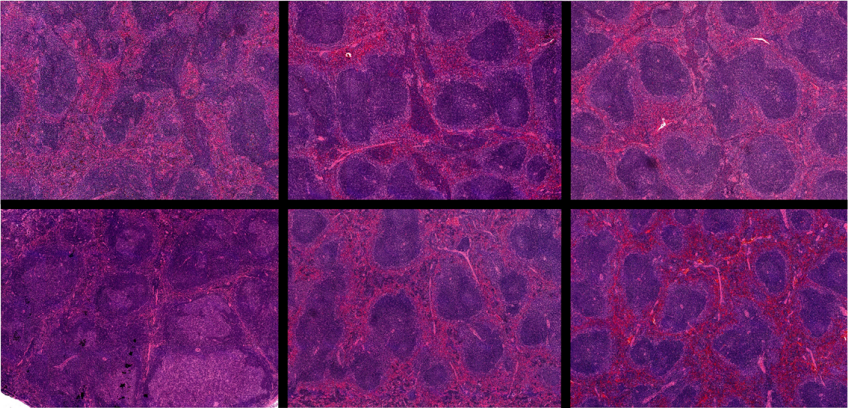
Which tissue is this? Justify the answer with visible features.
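Rounded, dark purple nodules of densely packed small cells are scattered through the section. The nodules lie in a pink-red tissue between them. Thin pink-red strands run through the tissue between the nodules. So: spleens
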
